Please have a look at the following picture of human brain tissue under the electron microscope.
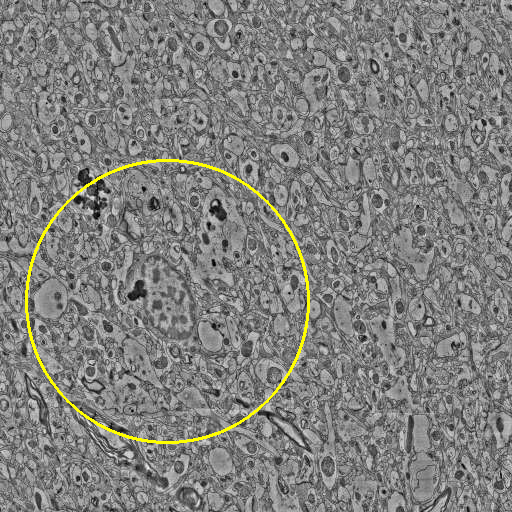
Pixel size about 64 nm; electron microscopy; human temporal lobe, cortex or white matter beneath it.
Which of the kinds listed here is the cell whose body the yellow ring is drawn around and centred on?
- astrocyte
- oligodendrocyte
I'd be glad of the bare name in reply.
oligodendrocyte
